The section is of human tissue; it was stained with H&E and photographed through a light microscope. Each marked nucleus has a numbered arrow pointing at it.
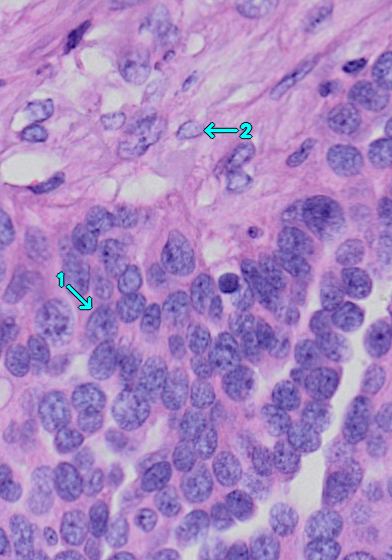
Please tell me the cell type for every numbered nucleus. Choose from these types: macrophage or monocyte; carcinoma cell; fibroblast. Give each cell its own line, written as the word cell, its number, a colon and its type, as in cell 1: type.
cell 1: carcinoma cell
cell 2: fibroblast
